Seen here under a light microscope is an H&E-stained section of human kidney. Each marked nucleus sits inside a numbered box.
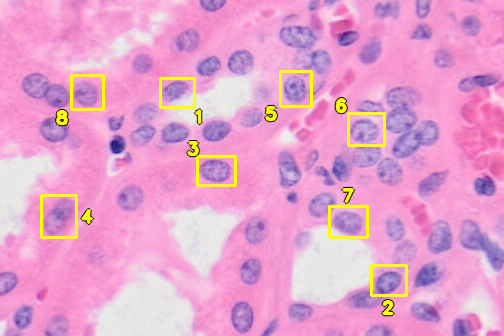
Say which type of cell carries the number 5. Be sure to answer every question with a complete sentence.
The numeral 5 marks a collecting duct cell in this section.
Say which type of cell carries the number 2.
In this section, number 2 marks a collecting duct cell.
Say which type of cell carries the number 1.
Recognised here as a collecting duct cell is the cell numbered 1.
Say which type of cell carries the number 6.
The cell that is numbered 6 is a collecting duct cell.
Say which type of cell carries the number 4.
The cell marked with number 4 is a proximal tubule cell.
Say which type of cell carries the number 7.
Here the cell numbered 7 is a collecting duct cell.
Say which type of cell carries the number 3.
The cell whose nucleus carries the number 3 is a proximal tubule cell.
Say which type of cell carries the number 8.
The cell with the number 8 is a proximal tubule cell.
